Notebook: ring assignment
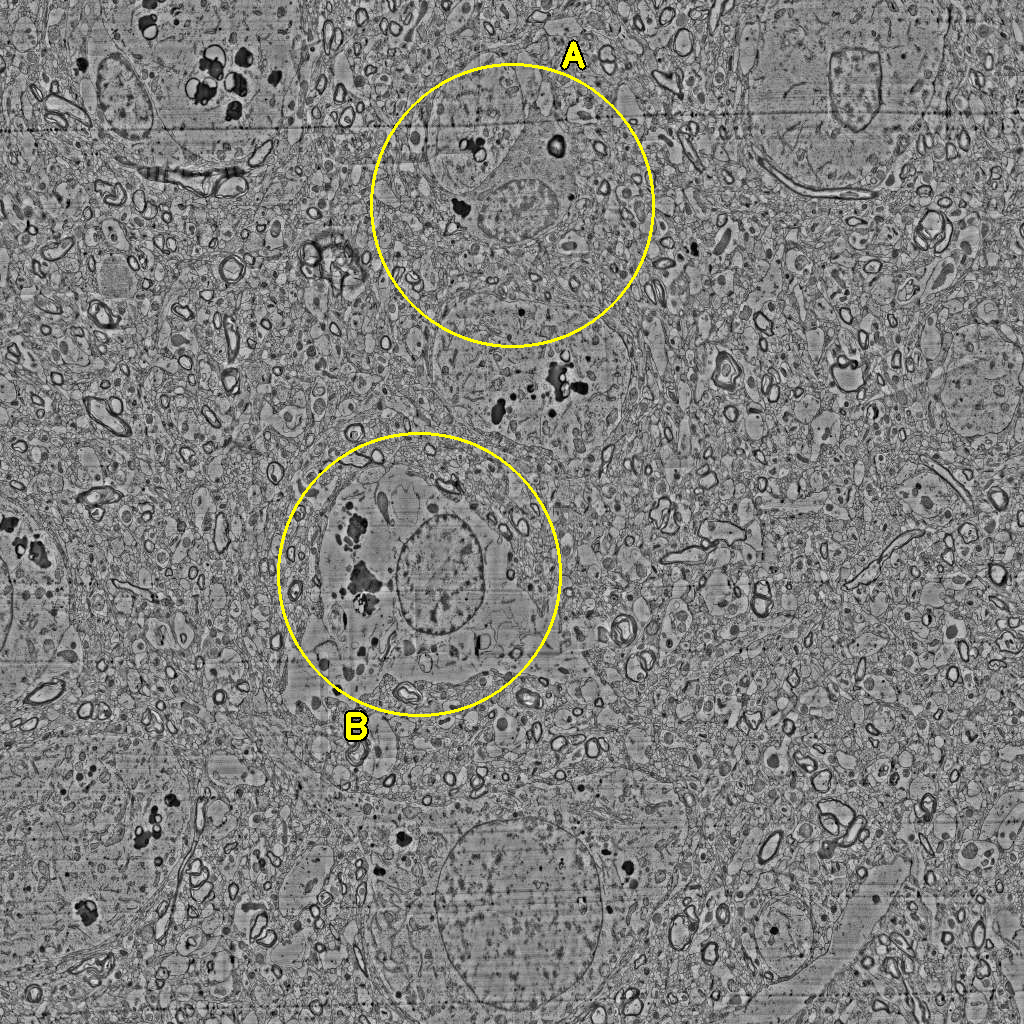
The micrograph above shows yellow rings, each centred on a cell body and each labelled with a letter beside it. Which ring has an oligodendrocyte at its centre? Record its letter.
A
